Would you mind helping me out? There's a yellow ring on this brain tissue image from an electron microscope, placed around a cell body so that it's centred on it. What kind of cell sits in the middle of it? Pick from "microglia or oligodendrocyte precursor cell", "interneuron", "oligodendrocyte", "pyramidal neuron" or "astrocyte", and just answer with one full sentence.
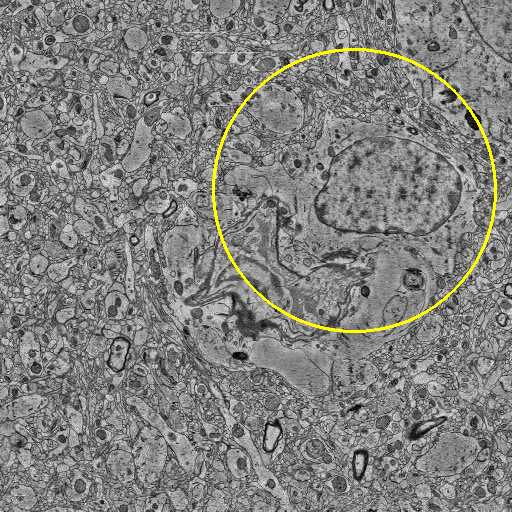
What sits in the middle of that yellow ring is a microglial cell or oligodendrocyte precursor cell, from your choices.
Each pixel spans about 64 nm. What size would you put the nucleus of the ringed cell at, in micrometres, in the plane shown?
The nucleus works out at approximately 9 by 7 micrometres in this plane.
